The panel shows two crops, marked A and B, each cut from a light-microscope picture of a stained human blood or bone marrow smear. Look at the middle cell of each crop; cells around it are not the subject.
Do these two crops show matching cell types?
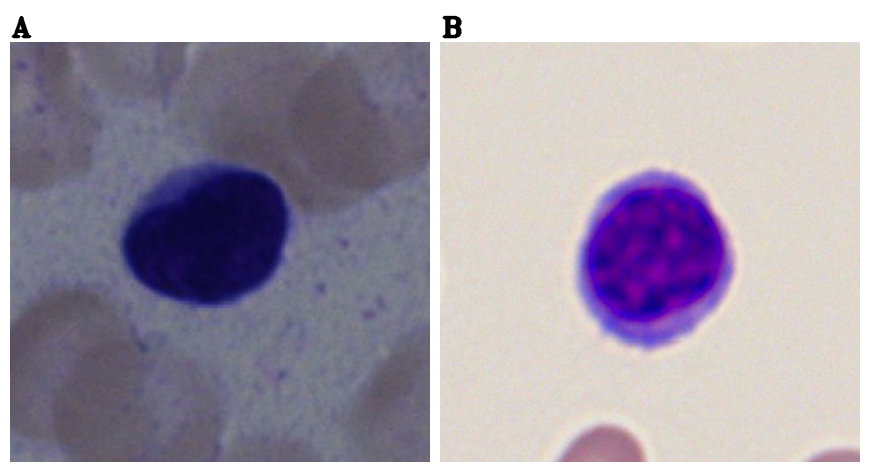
yes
